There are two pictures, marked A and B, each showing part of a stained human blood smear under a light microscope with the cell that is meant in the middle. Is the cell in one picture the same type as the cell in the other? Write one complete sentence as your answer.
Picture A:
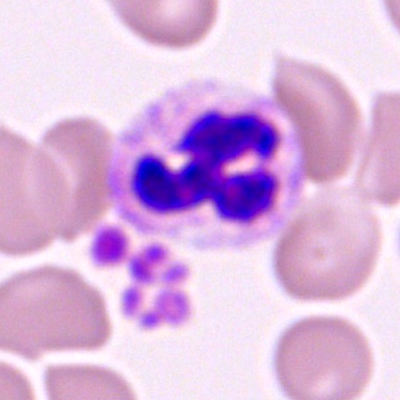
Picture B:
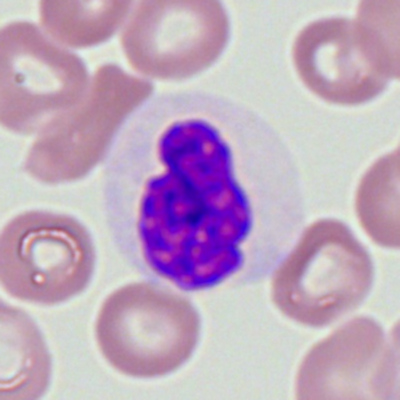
Yes, the two pictures both show segmented neutrophils.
